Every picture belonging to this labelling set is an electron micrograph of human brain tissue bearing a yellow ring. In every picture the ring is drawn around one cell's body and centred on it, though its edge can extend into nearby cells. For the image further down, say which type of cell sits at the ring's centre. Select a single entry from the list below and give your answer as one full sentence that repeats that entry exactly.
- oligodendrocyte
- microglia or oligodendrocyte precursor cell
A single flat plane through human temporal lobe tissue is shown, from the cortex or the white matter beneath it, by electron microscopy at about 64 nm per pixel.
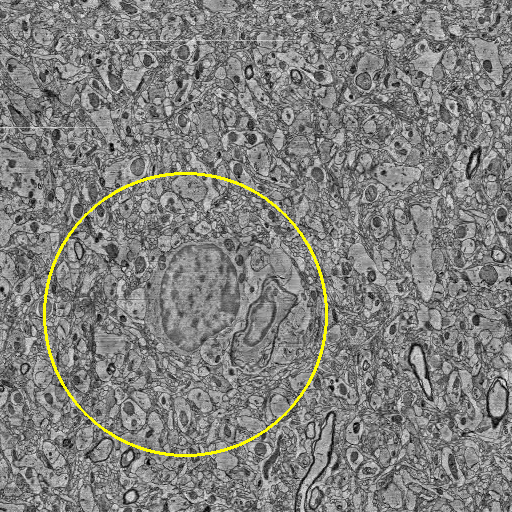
In the picture, an oligodendrocyte is the cell at the centre of the yellow ring.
